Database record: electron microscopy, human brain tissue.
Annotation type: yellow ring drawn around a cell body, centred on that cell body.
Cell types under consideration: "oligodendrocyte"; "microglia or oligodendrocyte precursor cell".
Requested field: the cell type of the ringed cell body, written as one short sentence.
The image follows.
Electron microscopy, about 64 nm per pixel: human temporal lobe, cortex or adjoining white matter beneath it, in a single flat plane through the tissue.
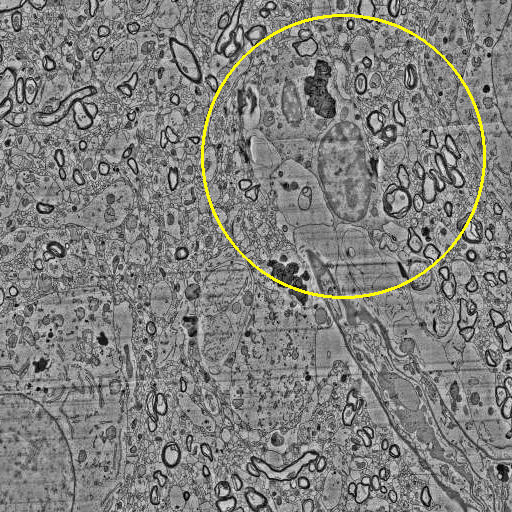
The ringed cell body represents an oligodendrocyte.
